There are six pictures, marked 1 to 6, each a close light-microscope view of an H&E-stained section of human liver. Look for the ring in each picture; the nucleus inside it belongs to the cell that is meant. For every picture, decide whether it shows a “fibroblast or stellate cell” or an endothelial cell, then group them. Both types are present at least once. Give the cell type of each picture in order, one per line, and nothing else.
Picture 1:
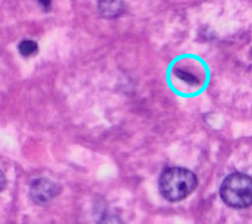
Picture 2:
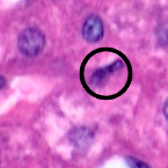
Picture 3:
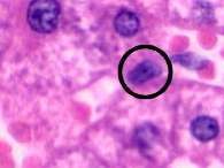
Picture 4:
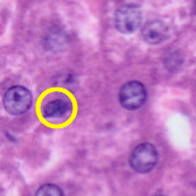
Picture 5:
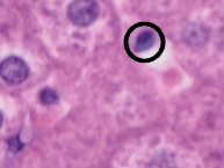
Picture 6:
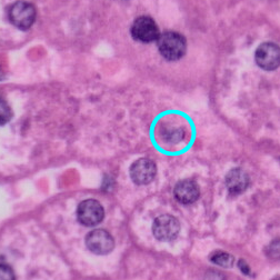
endothelial cell
fibroblast or stellate cell
fibroblast or stellate cell
fibroblast or stellate cell
fibroblast or stellate cell
endothelial cell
